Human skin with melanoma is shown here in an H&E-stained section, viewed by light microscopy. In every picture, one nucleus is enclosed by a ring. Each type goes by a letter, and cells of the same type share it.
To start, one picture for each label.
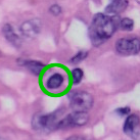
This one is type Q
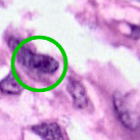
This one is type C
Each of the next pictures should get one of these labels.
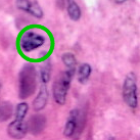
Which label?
type Q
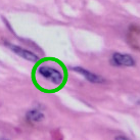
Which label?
type Q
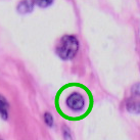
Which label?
type Q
